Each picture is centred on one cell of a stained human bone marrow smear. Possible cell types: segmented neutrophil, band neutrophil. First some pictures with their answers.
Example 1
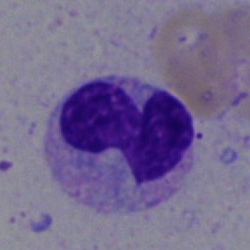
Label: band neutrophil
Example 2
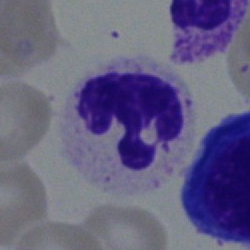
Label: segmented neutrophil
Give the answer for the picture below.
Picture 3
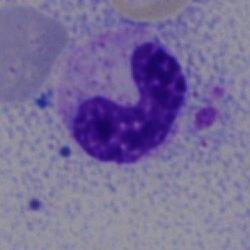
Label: band neutrophil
